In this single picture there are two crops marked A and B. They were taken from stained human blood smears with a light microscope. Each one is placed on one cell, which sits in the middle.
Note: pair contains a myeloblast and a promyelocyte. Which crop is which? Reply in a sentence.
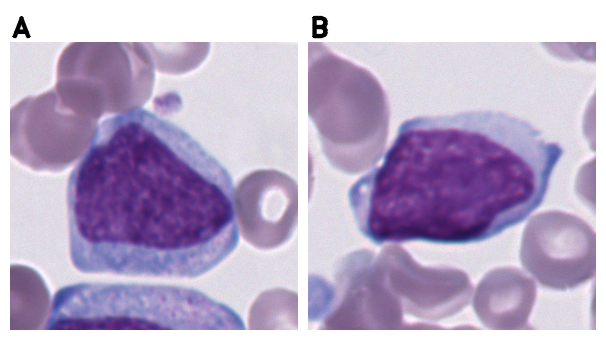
Shown in crop A is a promyelocyte, and shown in crop B is a myeloblast.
